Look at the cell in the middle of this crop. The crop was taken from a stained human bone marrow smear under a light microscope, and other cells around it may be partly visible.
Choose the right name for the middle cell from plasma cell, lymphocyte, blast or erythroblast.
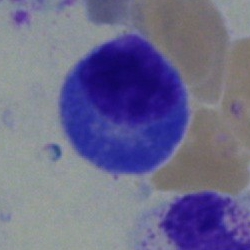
plasma cell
